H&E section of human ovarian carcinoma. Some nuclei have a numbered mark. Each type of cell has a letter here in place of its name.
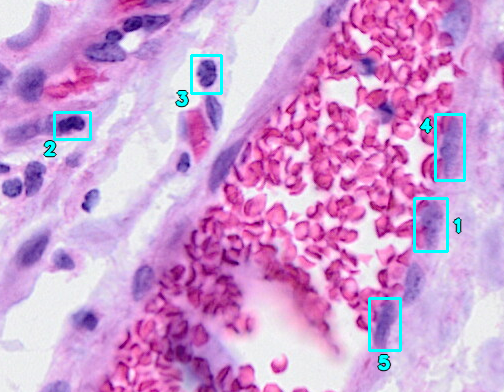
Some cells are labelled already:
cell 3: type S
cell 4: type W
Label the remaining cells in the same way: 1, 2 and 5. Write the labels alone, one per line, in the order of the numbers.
type W
type S
type W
